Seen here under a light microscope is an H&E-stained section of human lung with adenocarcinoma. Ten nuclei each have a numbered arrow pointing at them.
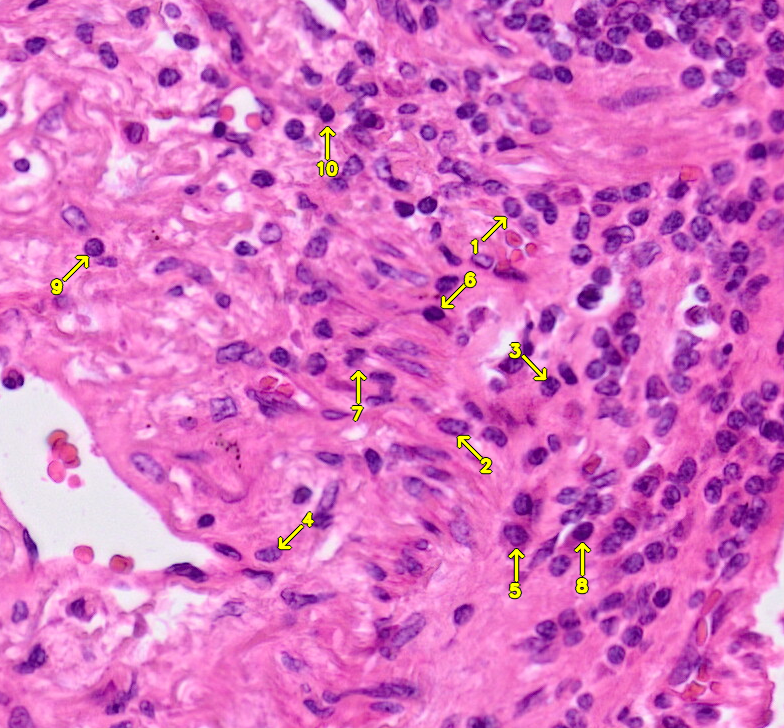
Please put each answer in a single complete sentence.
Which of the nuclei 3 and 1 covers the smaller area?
The smaller nucleus is 3, and 1 covers roughly 1.5 times its area.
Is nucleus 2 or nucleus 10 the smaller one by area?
The smaller nucleus is 10, and 2 covers roughly 1.5 times its area.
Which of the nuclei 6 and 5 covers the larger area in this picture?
Nucleus 5 covers more area, about 1.5 times as much as nucleus 6.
